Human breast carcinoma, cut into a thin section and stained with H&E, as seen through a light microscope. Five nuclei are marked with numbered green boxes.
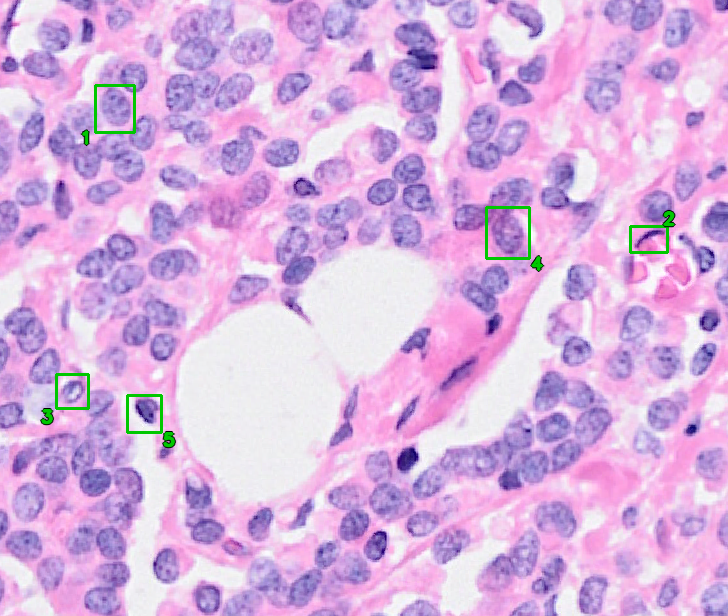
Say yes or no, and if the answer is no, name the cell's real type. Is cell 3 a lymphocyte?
No, it is an endothelial cell.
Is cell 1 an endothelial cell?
No, it is a carcinoma cell.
